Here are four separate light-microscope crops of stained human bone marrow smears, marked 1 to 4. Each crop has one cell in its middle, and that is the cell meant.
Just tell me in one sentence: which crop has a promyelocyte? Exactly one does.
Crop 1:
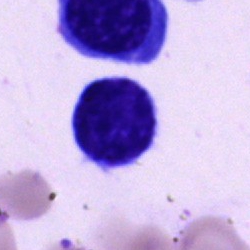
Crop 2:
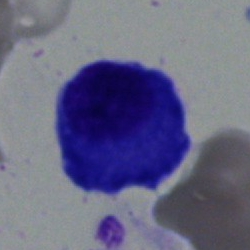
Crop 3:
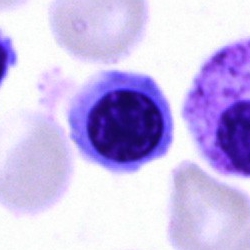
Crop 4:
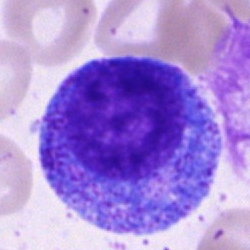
Among the crops given, only crop 4 shows a promyelocyte.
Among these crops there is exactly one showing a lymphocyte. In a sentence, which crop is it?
As for which crop shows a lymphocyte, it is crop 1.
